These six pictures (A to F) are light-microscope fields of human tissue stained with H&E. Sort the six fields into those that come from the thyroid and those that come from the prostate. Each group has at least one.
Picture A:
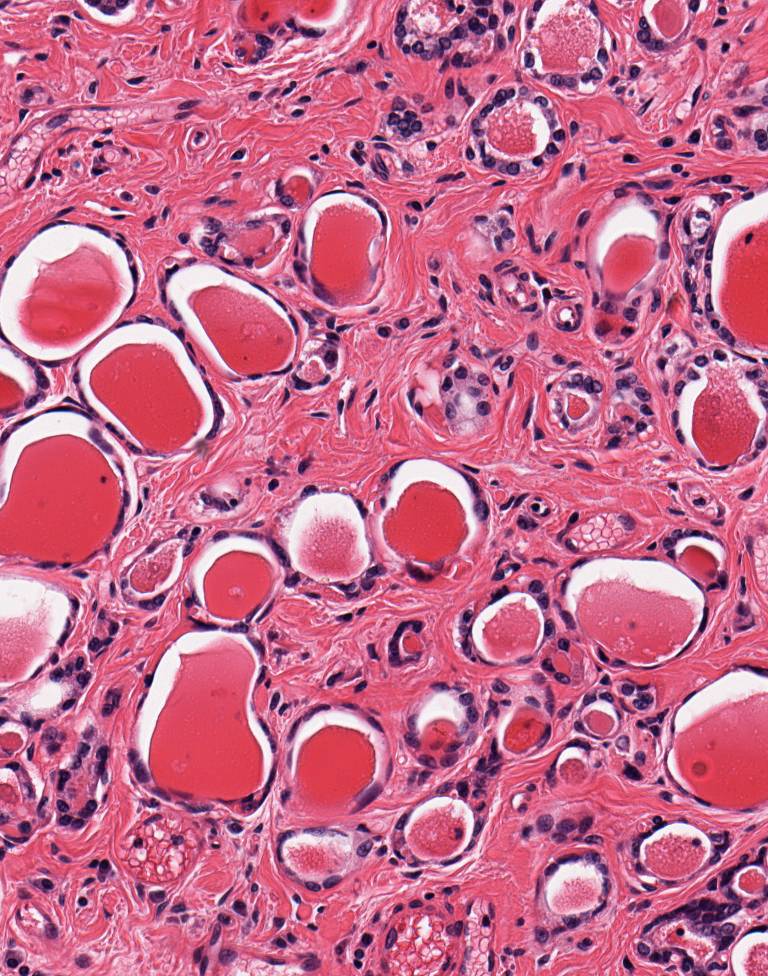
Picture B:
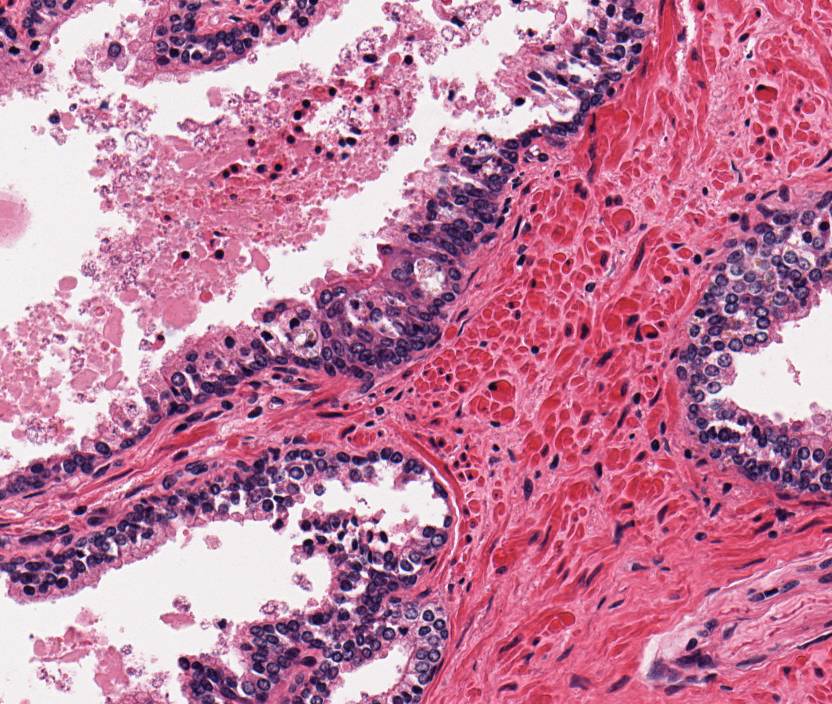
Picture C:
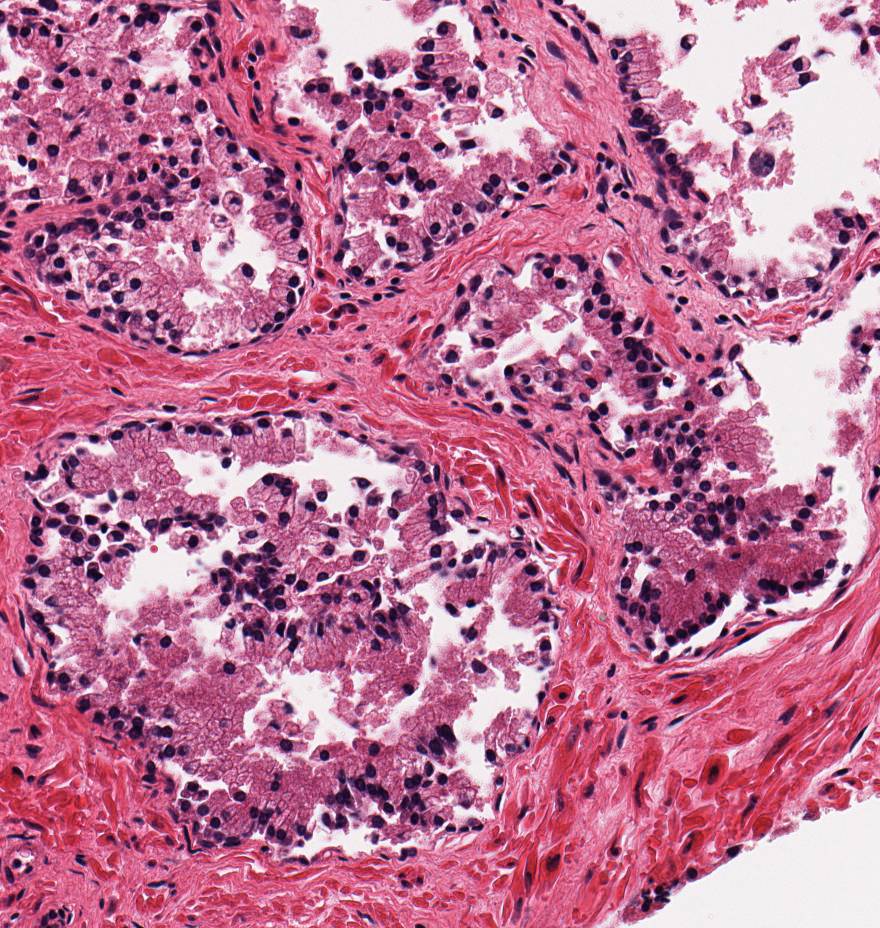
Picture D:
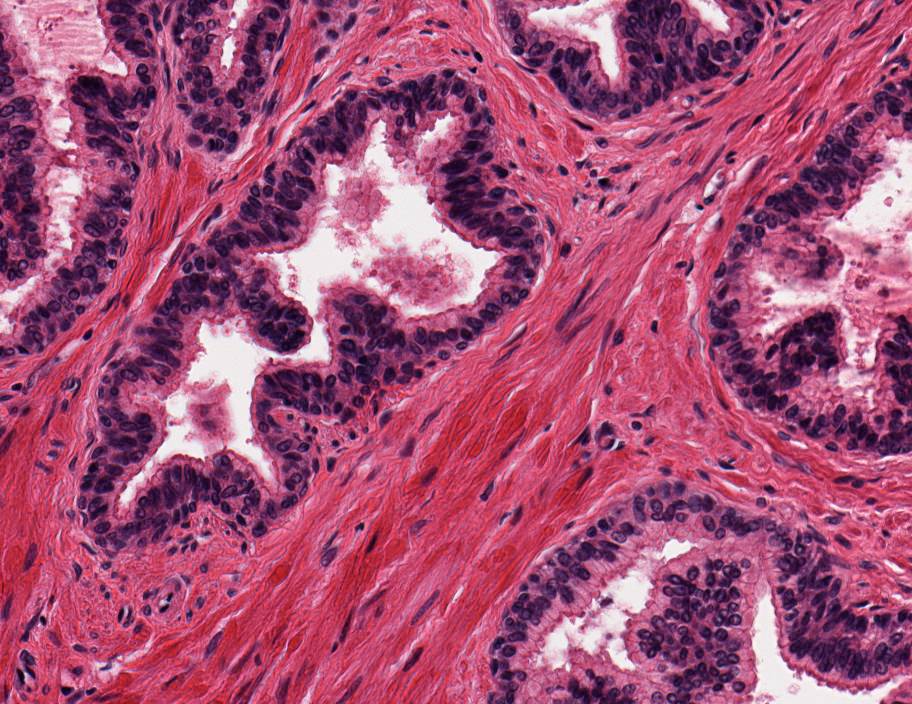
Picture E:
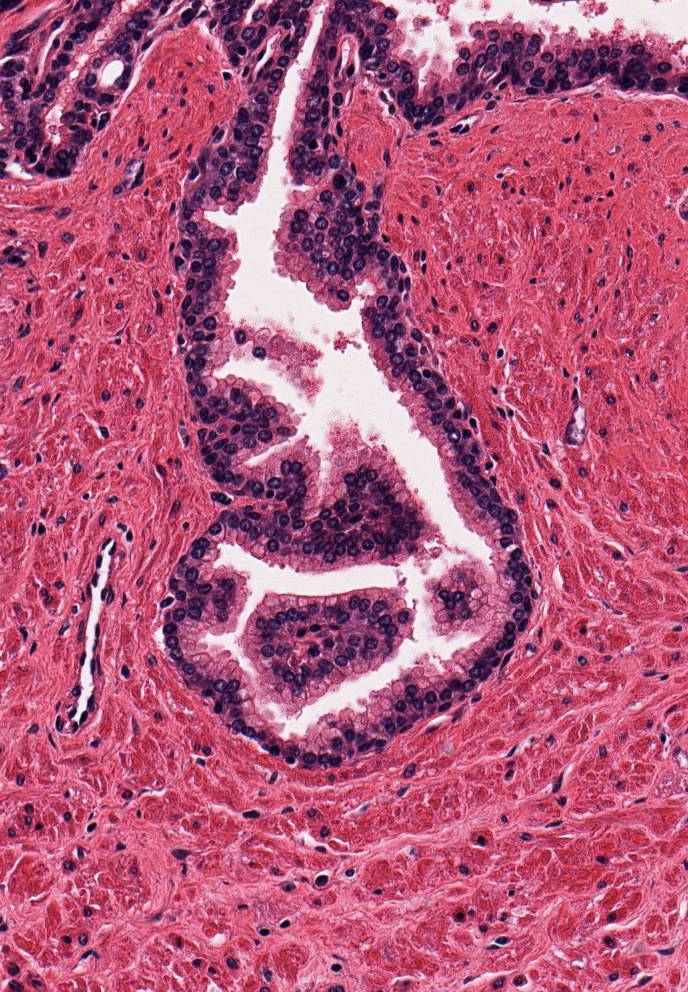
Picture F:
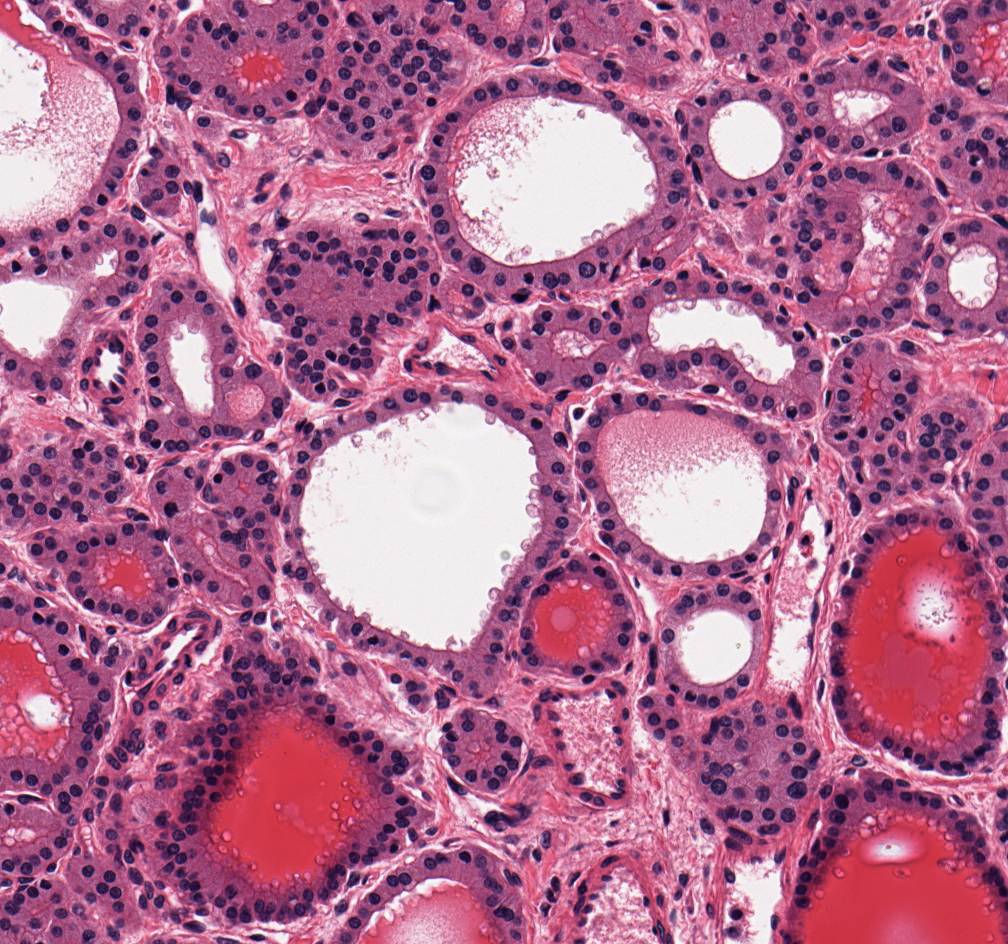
A: thyroid
B: prostate
C: prostate
D: prostate
E: prostate
F: thyroid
